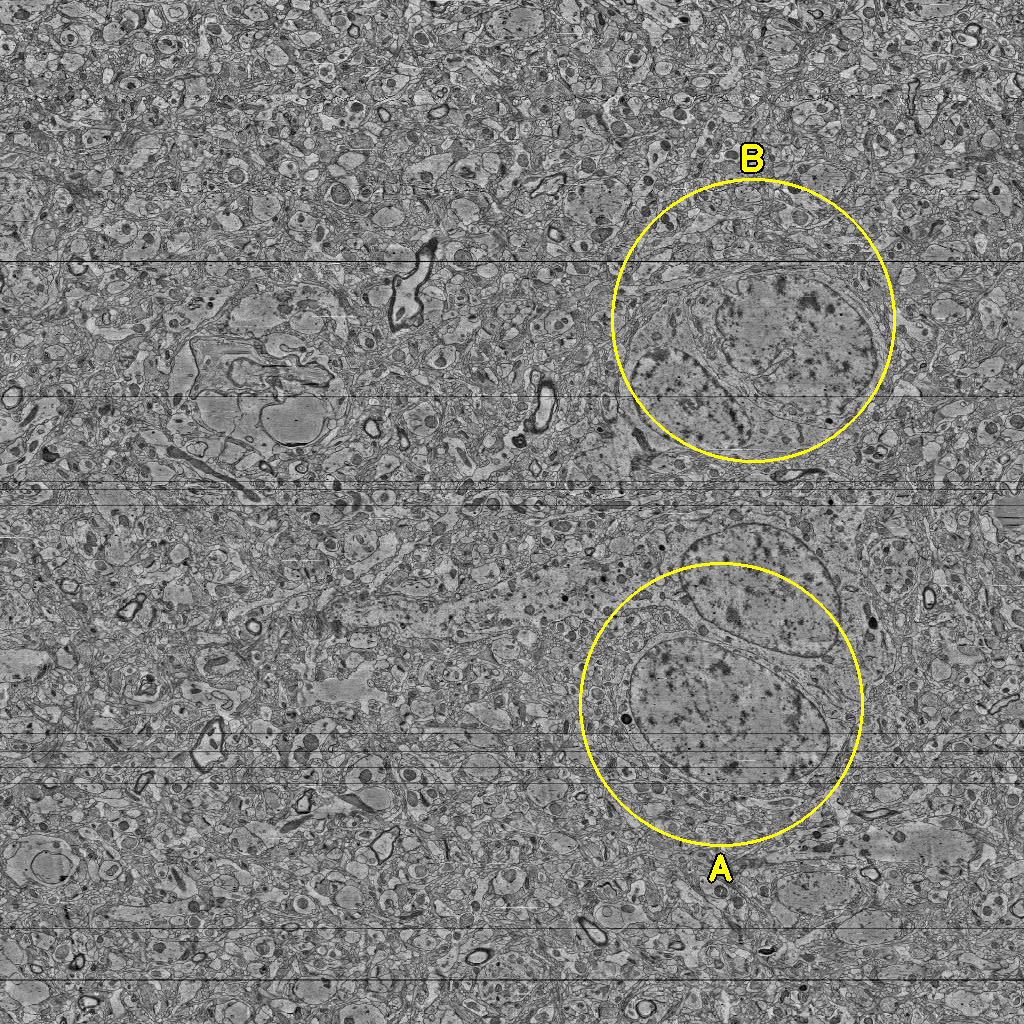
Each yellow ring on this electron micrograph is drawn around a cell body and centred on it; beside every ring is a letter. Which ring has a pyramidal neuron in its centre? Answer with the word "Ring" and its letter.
Ring A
